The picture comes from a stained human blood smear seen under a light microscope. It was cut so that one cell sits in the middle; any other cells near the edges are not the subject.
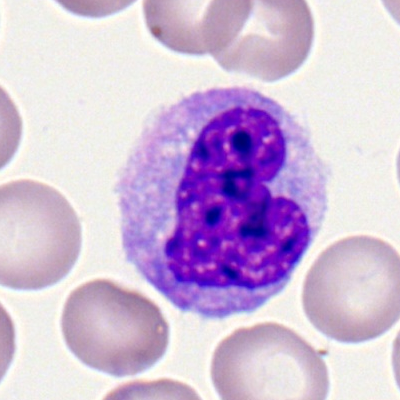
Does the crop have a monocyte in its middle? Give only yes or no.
yes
